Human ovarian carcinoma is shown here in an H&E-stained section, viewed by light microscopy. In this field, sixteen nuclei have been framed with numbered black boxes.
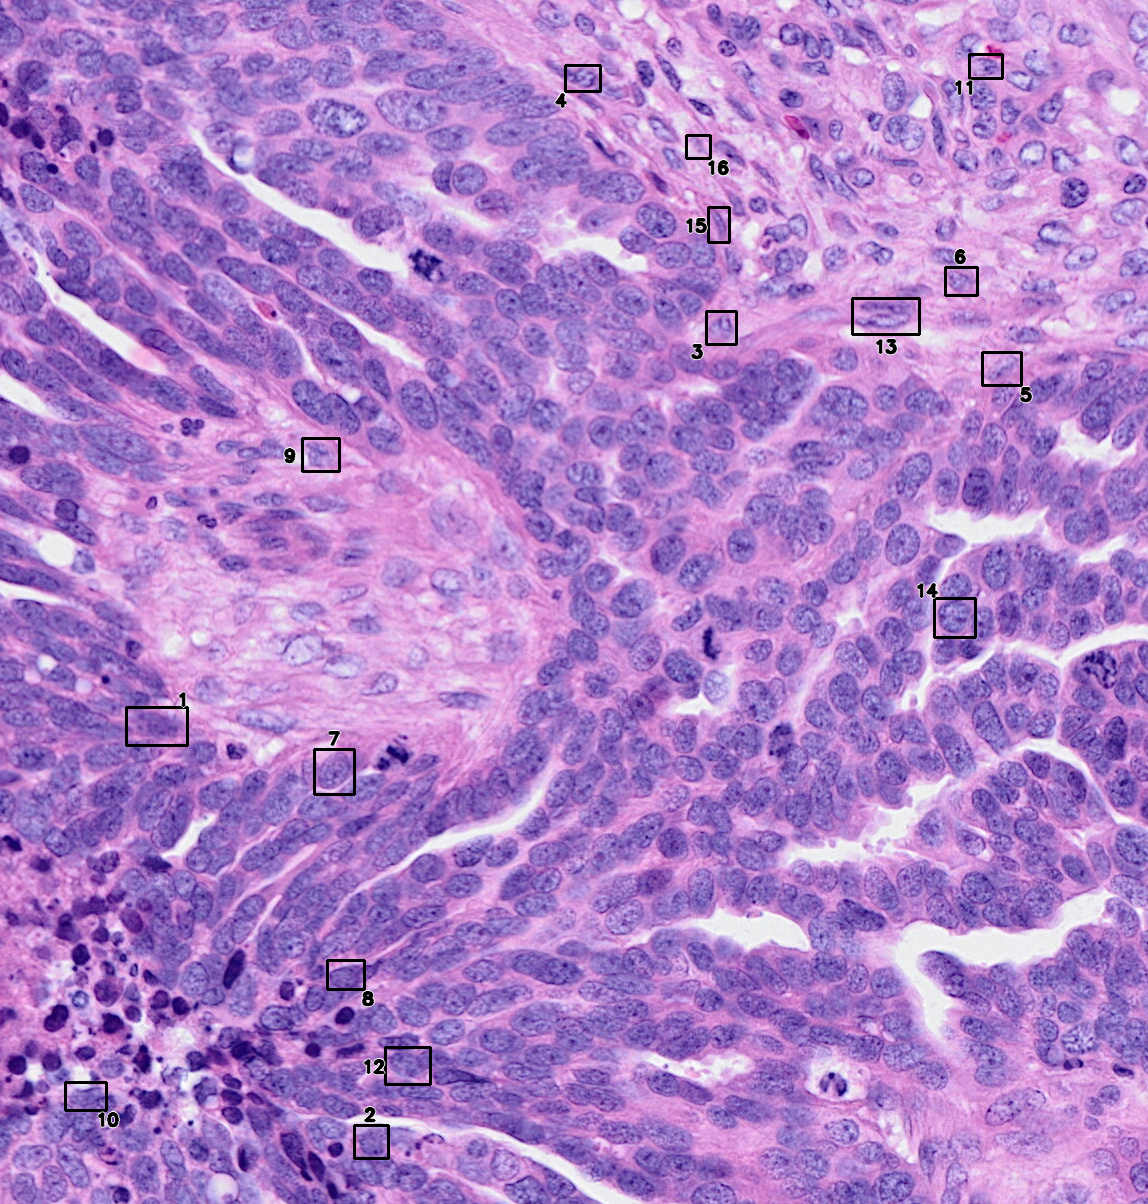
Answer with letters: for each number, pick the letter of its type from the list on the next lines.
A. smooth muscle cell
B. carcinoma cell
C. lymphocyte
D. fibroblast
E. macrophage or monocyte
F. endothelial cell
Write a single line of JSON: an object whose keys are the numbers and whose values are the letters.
{"1": "B", "2": "B", "3": "D", "4": "D", "5": "D", "6": "D", "7": "B", "8": "B", "9": "D", "10": "B", "11": "F", "12": "B", "13": "D", "14": "B", "15": "D", "16": "D"}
